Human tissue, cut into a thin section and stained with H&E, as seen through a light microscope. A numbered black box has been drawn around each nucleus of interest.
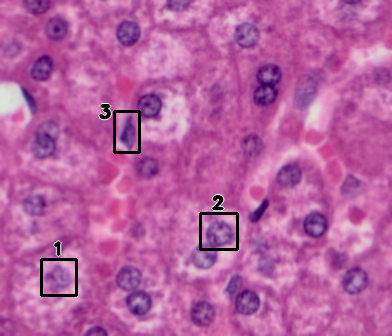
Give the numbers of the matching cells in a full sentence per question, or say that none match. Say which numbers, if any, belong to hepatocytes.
The cells that have numbers 1 and 2 are hepatocytes.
